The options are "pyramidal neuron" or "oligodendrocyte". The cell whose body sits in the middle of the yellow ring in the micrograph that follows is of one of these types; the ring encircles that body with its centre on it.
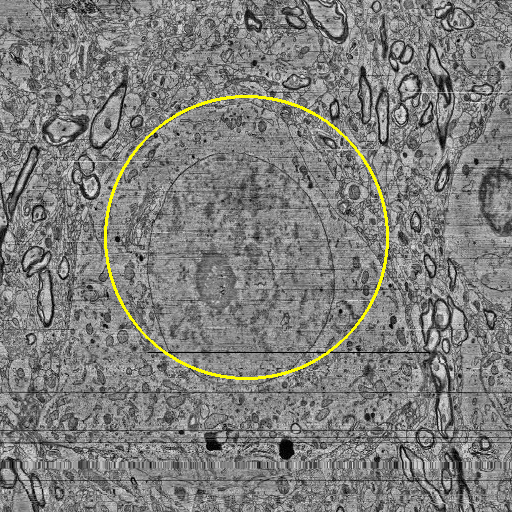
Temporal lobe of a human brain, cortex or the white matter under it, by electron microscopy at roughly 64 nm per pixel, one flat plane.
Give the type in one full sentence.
Going by the micrograph, the cell centred in the yellow ring is a pyramidal neuron.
